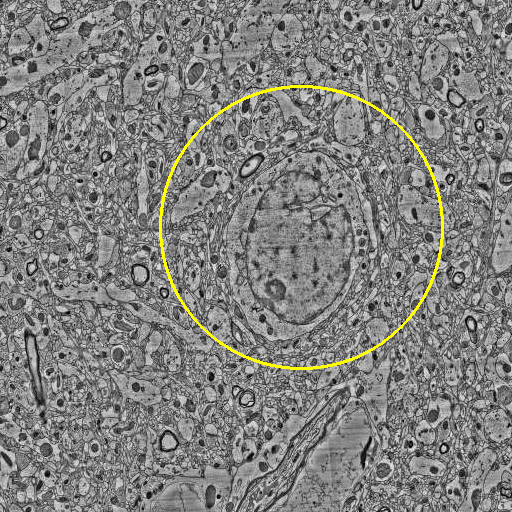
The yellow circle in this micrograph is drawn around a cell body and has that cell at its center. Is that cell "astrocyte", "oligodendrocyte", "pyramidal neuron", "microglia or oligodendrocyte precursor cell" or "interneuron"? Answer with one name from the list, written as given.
interneuron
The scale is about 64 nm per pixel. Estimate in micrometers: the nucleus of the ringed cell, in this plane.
In this plane, approximately 10 by 7 micrometers.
